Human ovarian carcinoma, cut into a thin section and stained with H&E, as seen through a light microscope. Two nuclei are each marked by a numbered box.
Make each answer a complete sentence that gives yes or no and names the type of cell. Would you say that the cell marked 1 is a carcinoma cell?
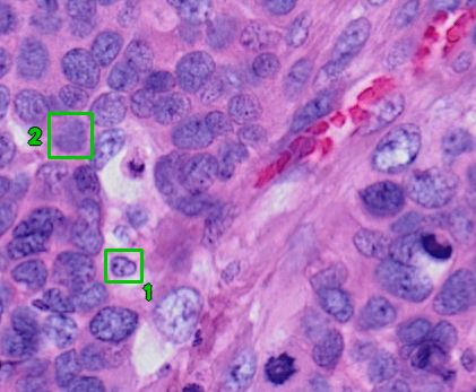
No, cell 1 isn't a carcinoma cell; it's a macrophage or monocyte.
